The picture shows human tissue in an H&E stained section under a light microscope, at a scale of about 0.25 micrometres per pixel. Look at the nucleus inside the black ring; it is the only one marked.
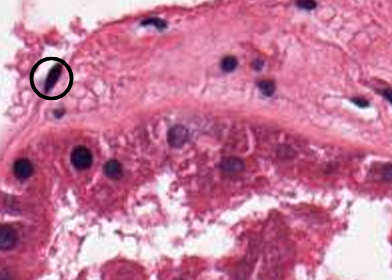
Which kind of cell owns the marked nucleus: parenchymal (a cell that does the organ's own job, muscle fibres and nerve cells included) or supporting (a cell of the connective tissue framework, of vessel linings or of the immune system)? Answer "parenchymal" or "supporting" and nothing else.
supporting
